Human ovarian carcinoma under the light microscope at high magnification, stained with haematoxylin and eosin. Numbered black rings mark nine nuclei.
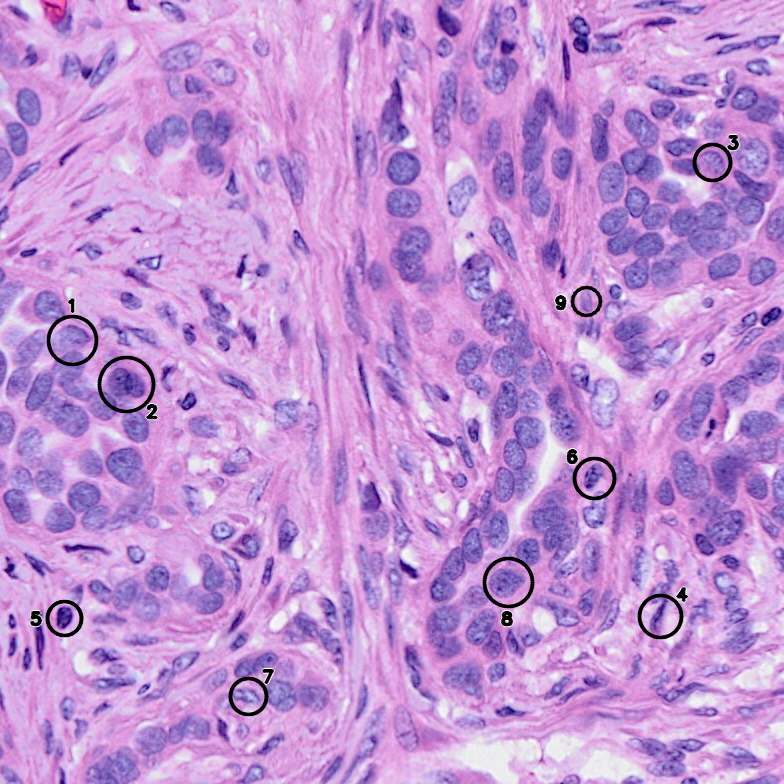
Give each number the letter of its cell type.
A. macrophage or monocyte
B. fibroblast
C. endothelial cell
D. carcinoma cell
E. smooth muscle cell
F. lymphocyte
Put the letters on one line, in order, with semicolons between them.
D; D; D; B; F; F; B; D; B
